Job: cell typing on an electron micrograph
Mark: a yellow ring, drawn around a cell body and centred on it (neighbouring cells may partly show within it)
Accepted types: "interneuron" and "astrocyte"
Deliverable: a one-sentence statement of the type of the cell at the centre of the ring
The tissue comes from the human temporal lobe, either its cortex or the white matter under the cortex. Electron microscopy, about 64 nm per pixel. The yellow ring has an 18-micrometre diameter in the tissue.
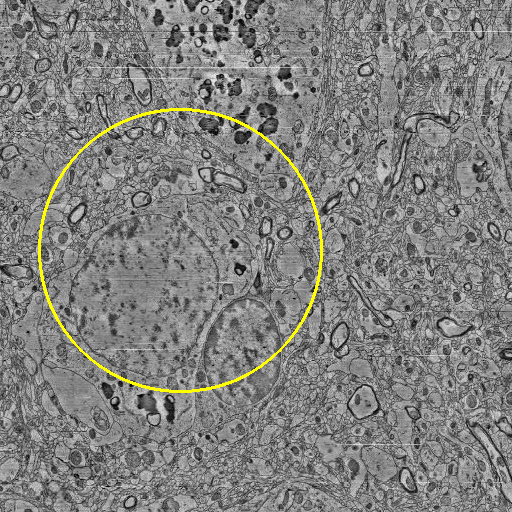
The centred cell body is that of an interneuron.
